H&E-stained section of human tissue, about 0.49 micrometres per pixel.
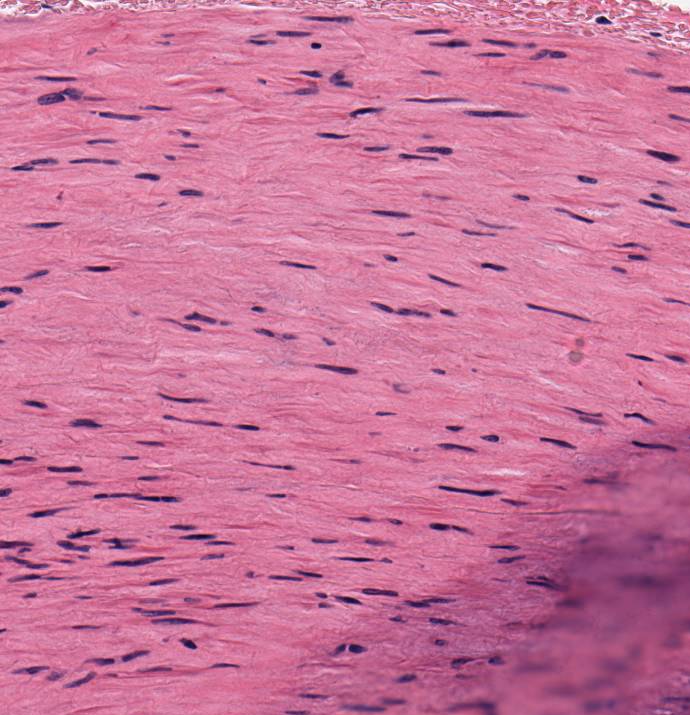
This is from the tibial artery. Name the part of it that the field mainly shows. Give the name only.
tunica media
